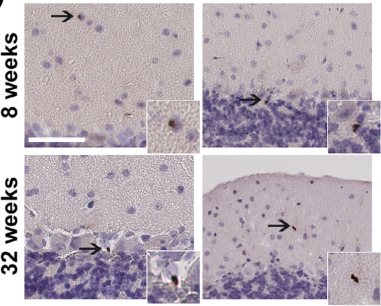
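These are four views of the cortex of the cerebellum, showing its layered arrangement. In the upper part of each view lies a pale layer with only scattered small blue nuclei, while lower down a dense band of small, tightly packed, dark blue nuclei forms the granular layer. Along the border between the two, a few larger rounded cell bodies can be made out in a row. Black arrows point to single small cells that are stained brown, standing out against the blue-counterstained tissue around them. Each of these brown cells is shown enlarged in a small inset in the lower right corner, where the cell looks compact and dense.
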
